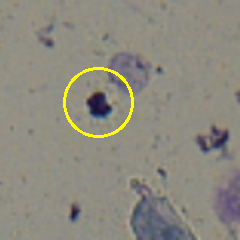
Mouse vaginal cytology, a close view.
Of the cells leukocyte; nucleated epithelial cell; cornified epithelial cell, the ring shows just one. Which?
The ring shows a leukocyte.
